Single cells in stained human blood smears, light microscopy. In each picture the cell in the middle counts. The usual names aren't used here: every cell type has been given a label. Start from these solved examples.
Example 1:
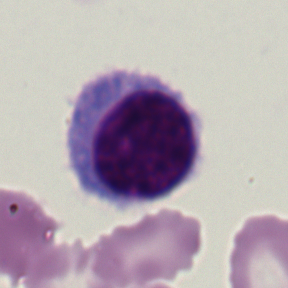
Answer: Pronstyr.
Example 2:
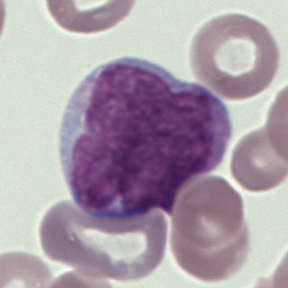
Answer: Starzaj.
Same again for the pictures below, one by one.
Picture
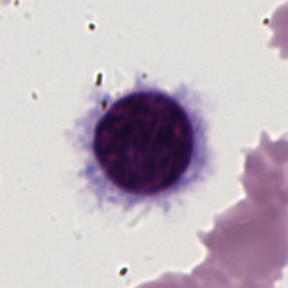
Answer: Pronstyr.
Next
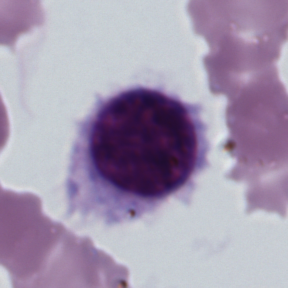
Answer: Pronstyr.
